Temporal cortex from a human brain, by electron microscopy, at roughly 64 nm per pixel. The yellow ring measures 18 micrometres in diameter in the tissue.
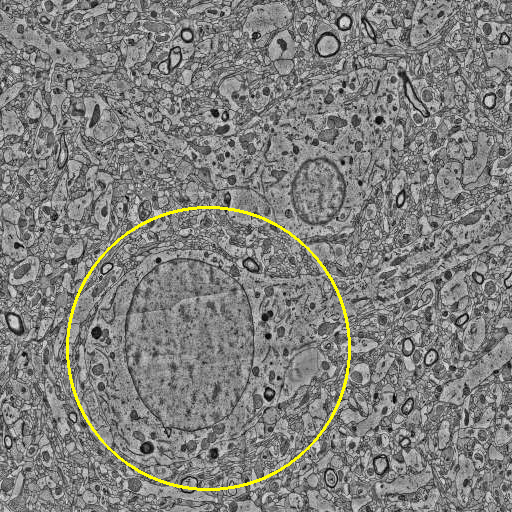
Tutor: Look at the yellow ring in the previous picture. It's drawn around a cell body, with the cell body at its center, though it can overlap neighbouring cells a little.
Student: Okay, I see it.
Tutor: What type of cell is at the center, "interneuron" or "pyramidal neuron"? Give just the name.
pyramidal neuron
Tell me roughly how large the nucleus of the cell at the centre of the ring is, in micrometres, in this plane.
In this plane, approximately 11 by 8 micrometers.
